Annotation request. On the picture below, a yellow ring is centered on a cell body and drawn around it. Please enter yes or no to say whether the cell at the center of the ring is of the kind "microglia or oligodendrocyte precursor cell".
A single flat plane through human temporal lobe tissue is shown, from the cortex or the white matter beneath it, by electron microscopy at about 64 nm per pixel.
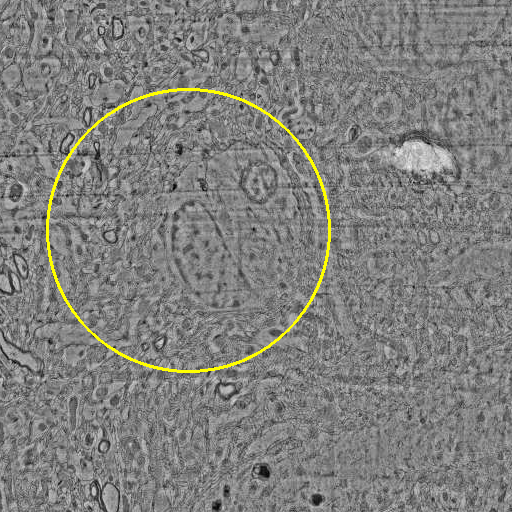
yes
